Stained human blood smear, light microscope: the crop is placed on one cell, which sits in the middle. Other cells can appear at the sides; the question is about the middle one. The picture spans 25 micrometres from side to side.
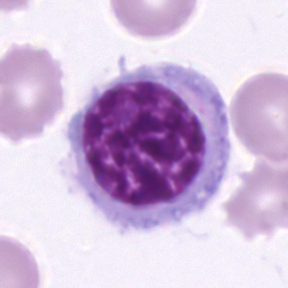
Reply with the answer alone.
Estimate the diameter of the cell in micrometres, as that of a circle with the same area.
14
